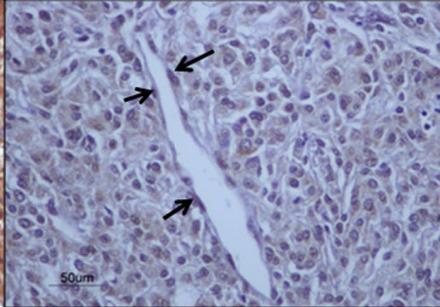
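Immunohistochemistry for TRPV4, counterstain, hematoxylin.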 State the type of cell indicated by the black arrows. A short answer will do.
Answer: Endothelial cells.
